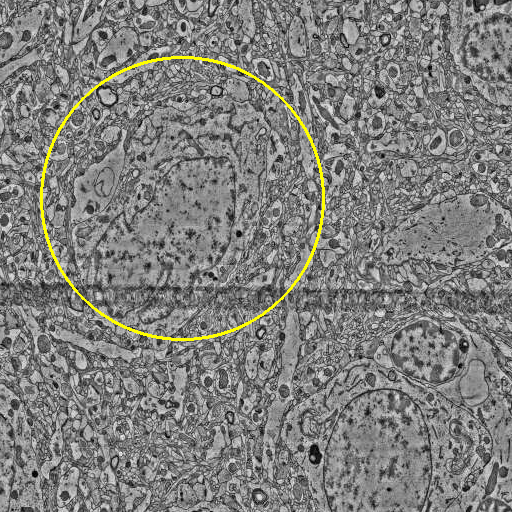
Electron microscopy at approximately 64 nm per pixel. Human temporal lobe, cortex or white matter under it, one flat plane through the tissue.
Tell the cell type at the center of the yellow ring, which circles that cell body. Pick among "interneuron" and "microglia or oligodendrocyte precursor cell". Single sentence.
The ring is centered on the body of an interneuron.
